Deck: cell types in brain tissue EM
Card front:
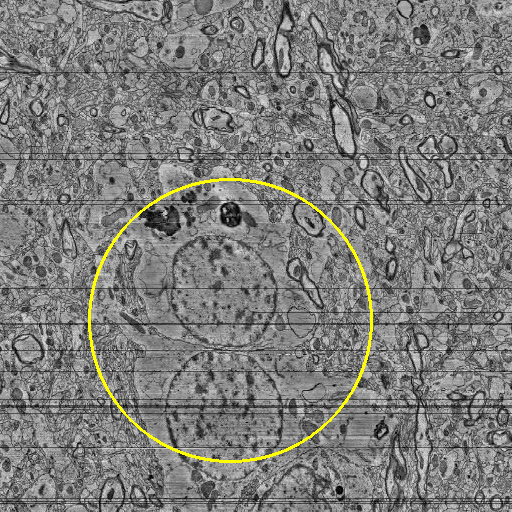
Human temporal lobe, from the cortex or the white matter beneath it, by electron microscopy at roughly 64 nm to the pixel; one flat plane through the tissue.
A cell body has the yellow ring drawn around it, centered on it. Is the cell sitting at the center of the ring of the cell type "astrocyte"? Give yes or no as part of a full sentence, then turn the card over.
Yes, on this card the yellow ring is centered on a cell of that type.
